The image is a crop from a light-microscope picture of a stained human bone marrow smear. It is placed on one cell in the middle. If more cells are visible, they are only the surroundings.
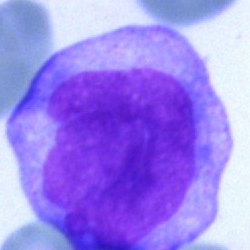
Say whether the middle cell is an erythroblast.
no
